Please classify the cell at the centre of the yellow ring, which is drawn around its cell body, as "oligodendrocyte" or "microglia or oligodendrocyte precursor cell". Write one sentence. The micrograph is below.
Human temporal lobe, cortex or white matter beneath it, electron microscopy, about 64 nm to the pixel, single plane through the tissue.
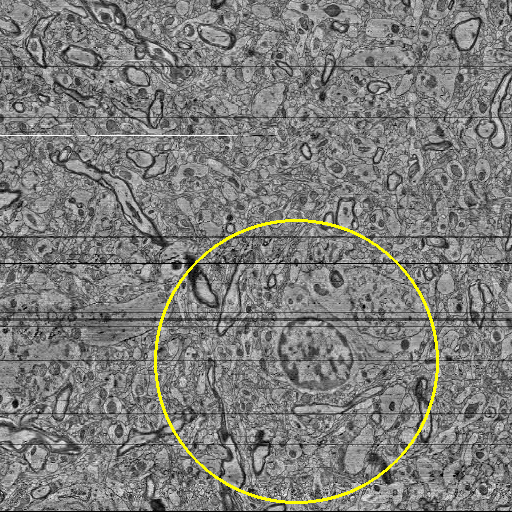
The cell at the ring's centre is classified as a microglial cell or oligodendrocyte precursor cell.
